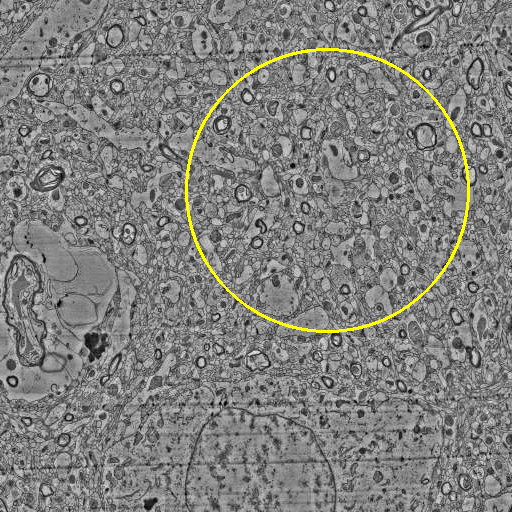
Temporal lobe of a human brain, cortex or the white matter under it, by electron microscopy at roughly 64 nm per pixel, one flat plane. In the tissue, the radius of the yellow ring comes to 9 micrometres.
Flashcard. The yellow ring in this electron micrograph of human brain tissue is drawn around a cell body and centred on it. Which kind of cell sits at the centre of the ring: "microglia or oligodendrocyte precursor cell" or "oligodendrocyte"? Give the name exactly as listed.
microglia or oligodendrocyte precursor cell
